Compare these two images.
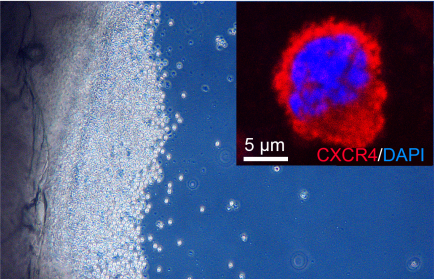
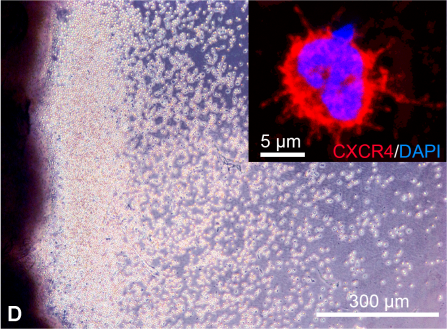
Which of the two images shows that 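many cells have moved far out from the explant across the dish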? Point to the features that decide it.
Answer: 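First image: cells form a dense band at the explant edge with only a few scattered cells beyond it. Second image: a broad field of densely scattered cells extends far from the explant edge. That points to this answer: the second image.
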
